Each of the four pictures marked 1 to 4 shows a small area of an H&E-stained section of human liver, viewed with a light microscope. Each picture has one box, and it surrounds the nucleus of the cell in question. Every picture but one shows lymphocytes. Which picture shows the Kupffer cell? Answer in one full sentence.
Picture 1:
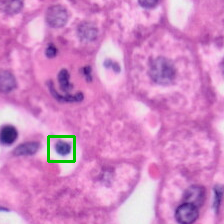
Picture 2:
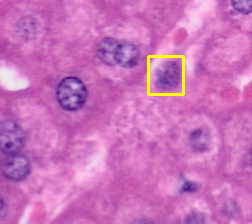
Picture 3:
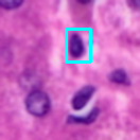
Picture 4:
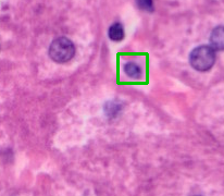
Picture 2 shows the Kupffer cell.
